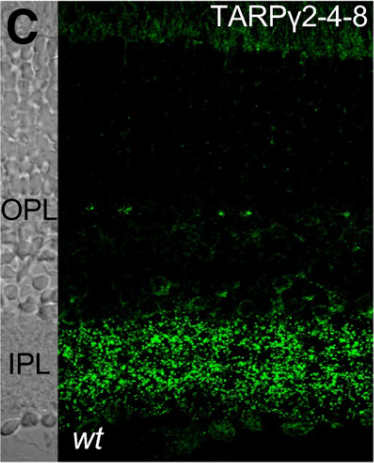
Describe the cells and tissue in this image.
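This is a section through the retina, with the transmitted light strip on the left showing the rows of round nuclei of the nuclear layers. The nuclear layers between them stay mostly dark, apart from faint rims around some cell bodies.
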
